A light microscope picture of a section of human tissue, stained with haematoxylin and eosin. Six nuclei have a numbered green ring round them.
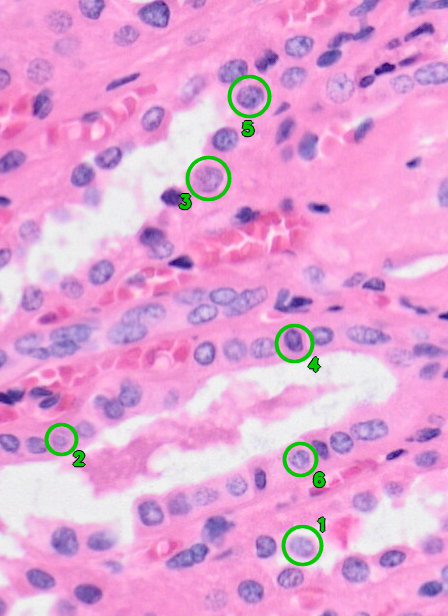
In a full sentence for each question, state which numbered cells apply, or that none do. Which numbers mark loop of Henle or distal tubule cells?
On this slide, the cells numbered 1, 3 and 5 are loop of Henle or distal tubule cells.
